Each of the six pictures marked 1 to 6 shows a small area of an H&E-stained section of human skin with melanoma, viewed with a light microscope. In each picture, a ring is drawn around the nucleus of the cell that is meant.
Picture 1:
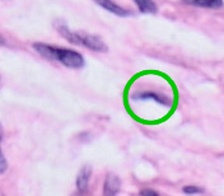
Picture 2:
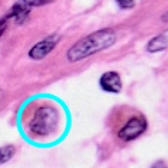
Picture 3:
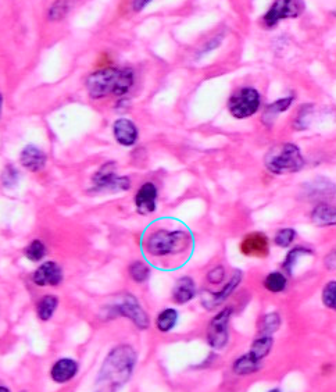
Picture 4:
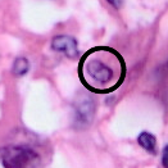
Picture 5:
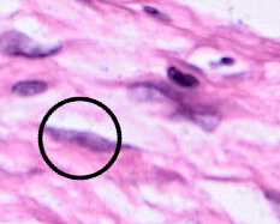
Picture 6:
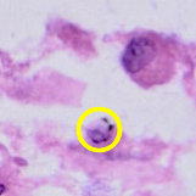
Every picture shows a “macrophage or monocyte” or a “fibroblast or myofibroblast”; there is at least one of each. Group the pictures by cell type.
1: fibroblast or myofibroblast
2: macrophage or monocyte
3: macrophage or monocyte
4: macrophage or monocyte
5: fibroblast or myofibroblast
6: macrophage or monocyte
